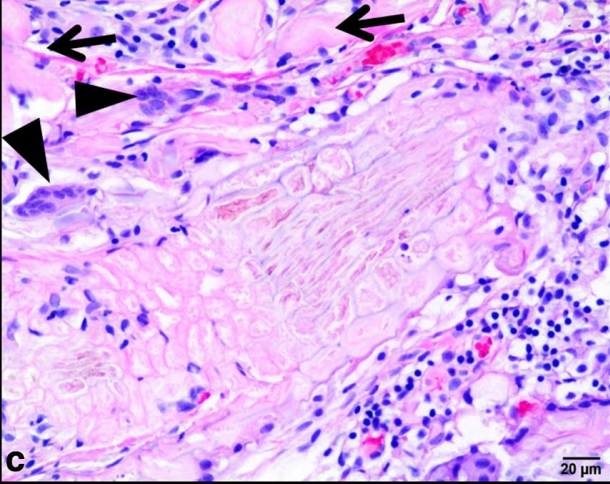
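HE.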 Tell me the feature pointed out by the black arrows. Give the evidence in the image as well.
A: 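The marked structures are glassy, pale pink, homogeneous bands. They curve around and lie between cells. That points to this answer: hyaline rings.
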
